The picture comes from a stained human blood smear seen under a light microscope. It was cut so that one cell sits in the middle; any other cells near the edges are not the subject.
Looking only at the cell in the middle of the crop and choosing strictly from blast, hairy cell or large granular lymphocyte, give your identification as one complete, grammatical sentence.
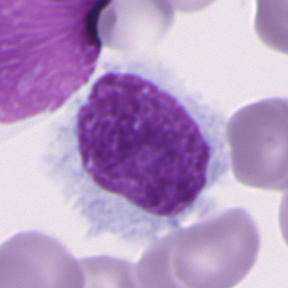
Among the cells in view, the one in the middle is a hairy cell.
